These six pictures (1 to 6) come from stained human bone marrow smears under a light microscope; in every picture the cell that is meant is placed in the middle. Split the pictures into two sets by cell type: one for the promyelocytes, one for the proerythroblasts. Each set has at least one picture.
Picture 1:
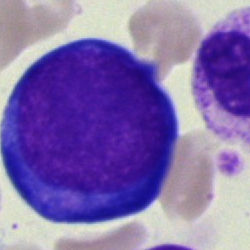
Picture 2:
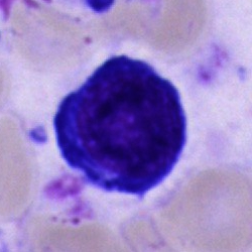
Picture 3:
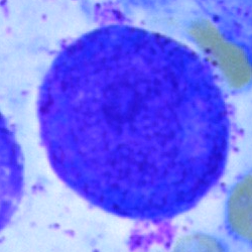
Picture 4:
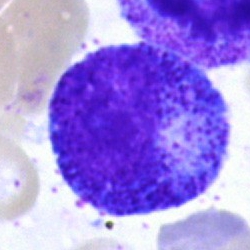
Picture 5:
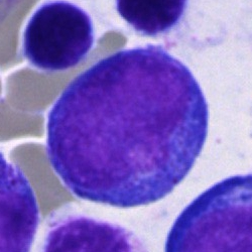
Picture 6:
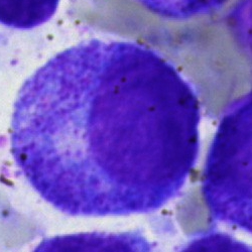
1: proerythroblast
2: proerythroblast
3: promyelocyte
4: promyelocyte
5: proerythroblast
6: promyelocyte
